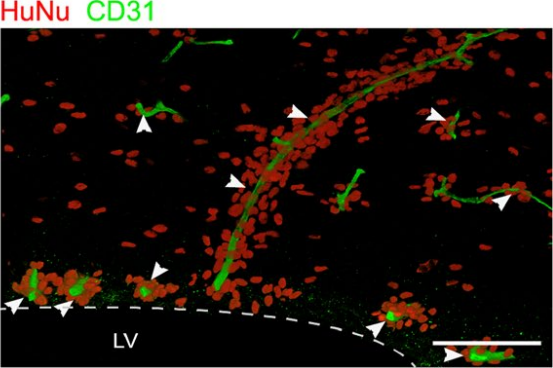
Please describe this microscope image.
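A long, curving green vessel is ensheathed along its length by a dense band of red nuclei, and shorter vessel segments are each surrounded by small clusters of nuclei. Along the dashed border of the ventricle, clusters of nuclei sit around small vessels. Between the vessels, the nuclei are sparse and elongated to oval.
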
